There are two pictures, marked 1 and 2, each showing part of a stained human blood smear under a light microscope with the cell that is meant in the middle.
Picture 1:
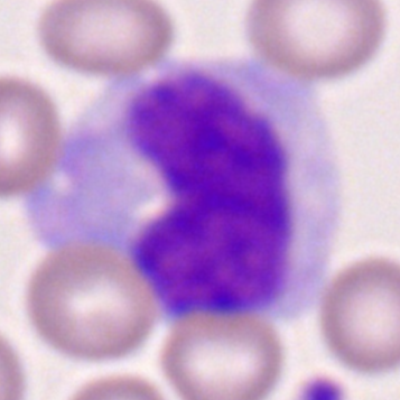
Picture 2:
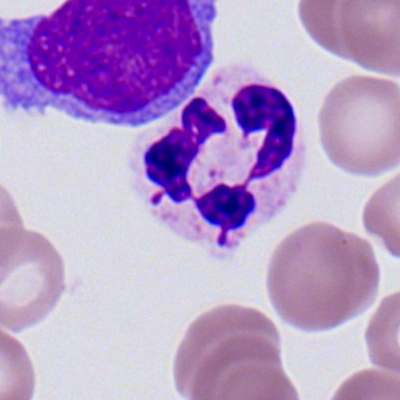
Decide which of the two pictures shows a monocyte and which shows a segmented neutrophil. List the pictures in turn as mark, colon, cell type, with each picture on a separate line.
1: monocyte
2: segmented neutrophil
